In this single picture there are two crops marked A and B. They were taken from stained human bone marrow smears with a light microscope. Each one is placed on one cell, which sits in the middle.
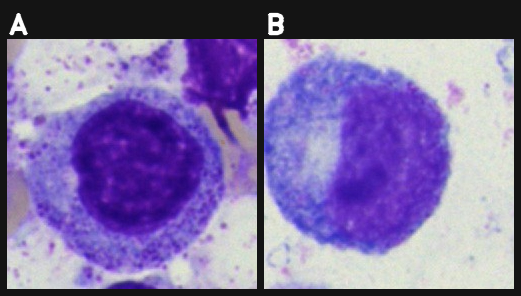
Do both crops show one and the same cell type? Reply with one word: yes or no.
yes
